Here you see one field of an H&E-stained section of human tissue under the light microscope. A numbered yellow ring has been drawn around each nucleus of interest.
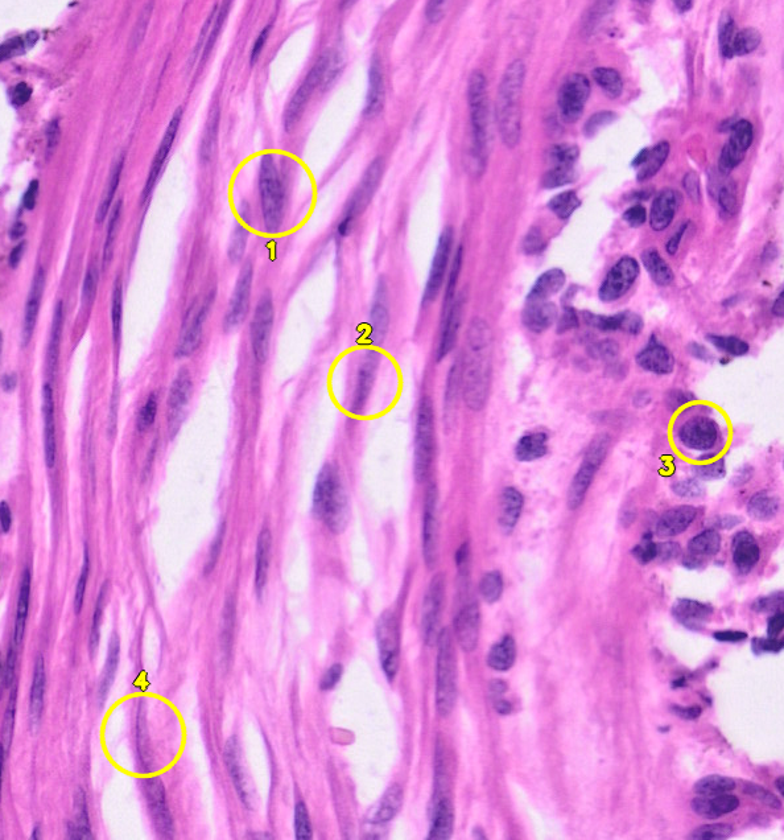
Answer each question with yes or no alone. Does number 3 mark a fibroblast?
no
